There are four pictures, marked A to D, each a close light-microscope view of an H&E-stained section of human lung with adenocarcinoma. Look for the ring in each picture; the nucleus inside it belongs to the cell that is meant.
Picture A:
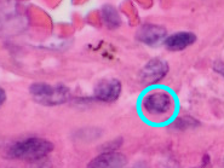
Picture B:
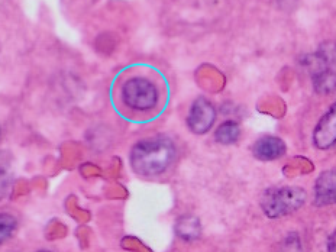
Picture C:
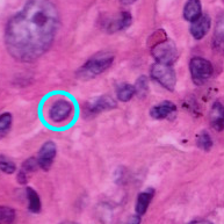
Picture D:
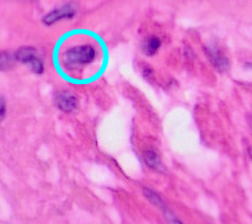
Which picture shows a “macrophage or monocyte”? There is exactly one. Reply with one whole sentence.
The “macrophage or monocyte” is the one in picture B.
